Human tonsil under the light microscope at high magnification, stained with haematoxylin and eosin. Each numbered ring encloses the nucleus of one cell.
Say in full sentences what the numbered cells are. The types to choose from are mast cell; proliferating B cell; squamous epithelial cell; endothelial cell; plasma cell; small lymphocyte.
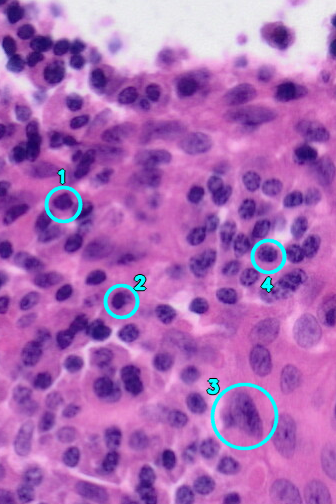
Cell 1 is a plasma cell, cell 2 is a plasma cell, cell 3 is a squamous epithelial cell and cell 4 is a plasma cell.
